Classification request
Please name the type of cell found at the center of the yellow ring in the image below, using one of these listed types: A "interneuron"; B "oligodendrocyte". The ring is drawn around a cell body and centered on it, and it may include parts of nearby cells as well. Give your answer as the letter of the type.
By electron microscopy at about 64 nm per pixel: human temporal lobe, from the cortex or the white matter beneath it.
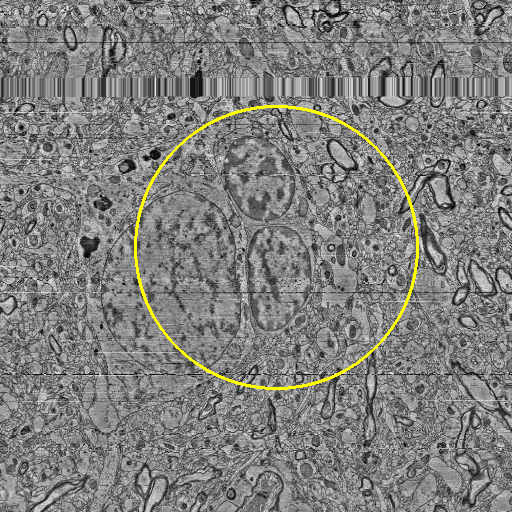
B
